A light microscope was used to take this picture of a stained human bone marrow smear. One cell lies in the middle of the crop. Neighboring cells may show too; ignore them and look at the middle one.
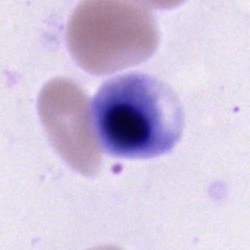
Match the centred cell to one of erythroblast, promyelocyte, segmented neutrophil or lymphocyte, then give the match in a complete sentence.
The centered cell in this crop is an erythroblast.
